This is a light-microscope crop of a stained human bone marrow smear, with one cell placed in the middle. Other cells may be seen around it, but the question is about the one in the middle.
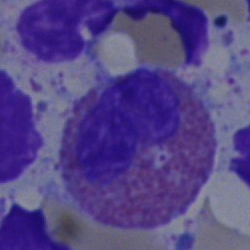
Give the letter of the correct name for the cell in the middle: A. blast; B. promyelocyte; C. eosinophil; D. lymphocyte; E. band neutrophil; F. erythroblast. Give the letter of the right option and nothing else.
C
